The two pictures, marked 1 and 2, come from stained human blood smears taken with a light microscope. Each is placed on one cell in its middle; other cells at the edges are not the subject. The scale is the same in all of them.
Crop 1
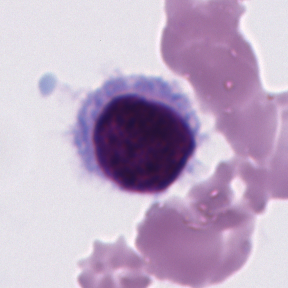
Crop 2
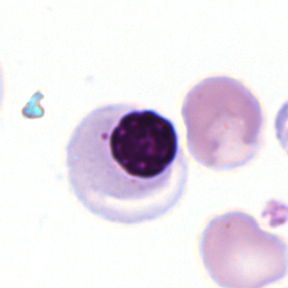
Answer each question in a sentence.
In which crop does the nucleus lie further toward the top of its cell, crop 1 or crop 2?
It is the nucleus in crop 2 that lies further toward the top of its cell.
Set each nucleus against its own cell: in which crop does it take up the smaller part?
It is the cell in crop 2 that is filled less by its nucleus.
